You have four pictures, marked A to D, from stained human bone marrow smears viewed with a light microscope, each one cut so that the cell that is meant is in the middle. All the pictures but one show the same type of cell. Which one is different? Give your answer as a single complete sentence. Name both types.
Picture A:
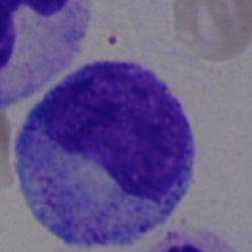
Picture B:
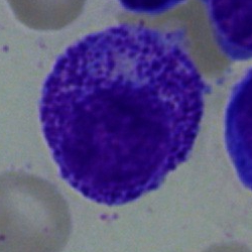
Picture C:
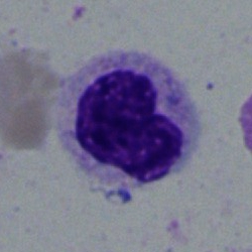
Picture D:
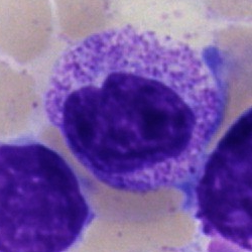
Unlike the rest, which show metamyelocytes, picture B shows a myelocyte.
